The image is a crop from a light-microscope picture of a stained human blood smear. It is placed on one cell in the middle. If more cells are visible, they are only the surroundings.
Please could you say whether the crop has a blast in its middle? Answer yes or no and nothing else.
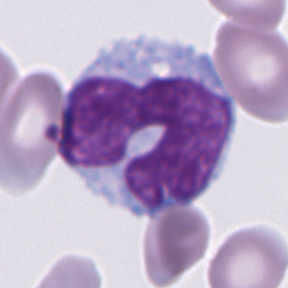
no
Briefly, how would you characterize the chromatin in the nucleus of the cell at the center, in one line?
The chromatin is fine throughout, without coarse clumps.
